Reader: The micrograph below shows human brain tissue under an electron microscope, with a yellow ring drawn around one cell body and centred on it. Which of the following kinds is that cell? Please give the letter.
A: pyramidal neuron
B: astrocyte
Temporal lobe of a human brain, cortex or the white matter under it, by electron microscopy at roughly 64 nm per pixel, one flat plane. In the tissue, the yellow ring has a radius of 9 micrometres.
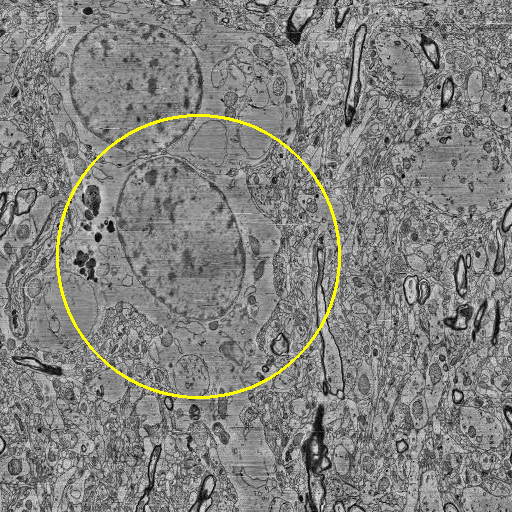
B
